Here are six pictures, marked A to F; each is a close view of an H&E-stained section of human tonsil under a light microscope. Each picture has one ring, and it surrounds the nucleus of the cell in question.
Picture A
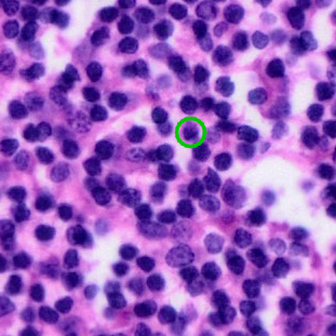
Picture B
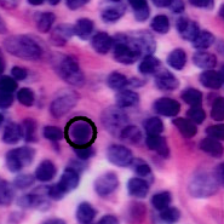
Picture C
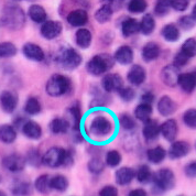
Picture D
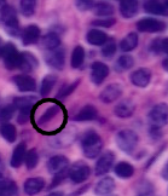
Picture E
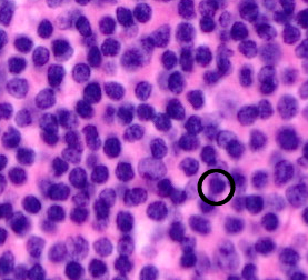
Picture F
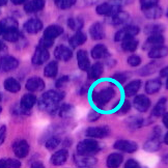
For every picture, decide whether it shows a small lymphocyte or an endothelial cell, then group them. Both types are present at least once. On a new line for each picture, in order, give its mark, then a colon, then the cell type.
A: small lymphocyte
B: endothelial cell
C: small lymphocyte
D: endothelial cell
E: small lymphocyte
F: small lymphocyte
